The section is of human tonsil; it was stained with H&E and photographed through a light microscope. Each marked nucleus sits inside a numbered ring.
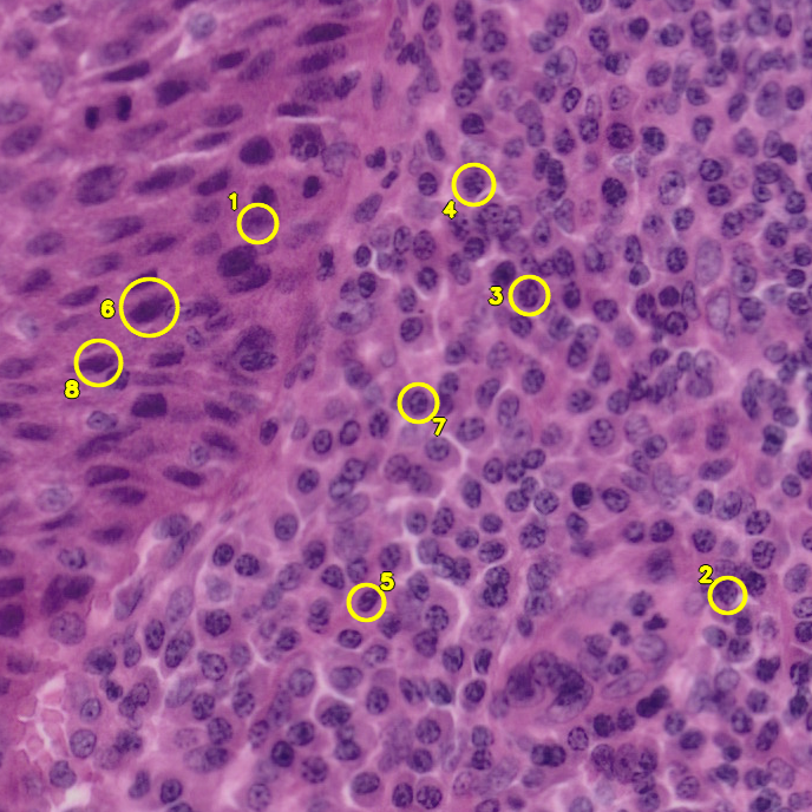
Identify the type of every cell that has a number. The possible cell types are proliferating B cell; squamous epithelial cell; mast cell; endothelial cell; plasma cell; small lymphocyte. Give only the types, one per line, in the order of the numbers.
squamous epithelial cell
plasma cell
plasma cell
plasma cell
plasma cell
squamous epithelial cell
plasma cell
squamous epithelial cell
